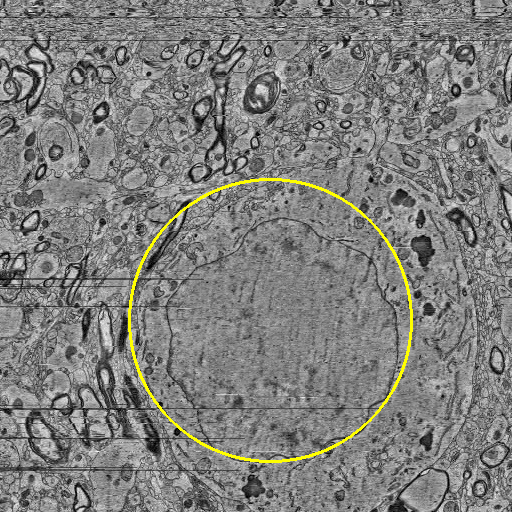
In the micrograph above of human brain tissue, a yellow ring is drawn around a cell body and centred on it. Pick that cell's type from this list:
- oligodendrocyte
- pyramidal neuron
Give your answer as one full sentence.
Going by the list, a pyramidal neuron is the cell on which the yellow ring is centred.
